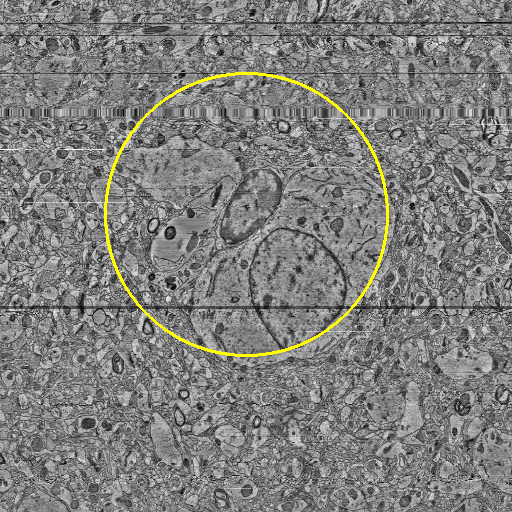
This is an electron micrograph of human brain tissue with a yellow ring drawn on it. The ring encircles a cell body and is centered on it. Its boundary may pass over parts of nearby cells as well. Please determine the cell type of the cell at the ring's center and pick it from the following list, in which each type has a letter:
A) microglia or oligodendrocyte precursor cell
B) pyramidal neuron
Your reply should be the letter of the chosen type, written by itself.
A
